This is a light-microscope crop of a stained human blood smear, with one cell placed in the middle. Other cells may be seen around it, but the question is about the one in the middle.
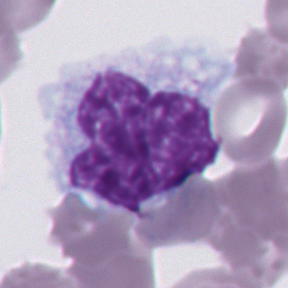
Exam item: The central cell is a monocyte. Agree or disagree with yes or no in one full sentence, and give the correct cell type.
Yes, the cell right in the middle is a monocyte.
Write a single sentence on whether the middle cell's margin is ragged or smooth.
The outer contour of the cell is irregular, with ragged portions or projections along it.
